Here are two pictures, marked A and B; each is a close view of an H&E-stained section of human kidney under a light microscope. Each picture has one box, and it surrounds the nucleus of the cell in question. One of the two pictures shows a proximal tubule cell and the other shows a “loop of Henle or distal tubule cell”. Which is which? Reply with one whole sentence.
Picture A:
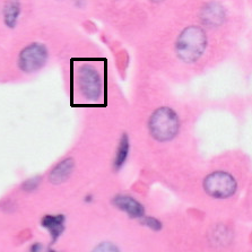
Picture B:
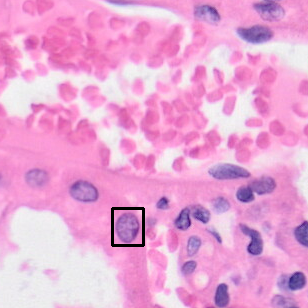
The cell in picture A is a “loop of Henle or distal tubule cell”, and the one in picture B is a proximal tubule cell.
